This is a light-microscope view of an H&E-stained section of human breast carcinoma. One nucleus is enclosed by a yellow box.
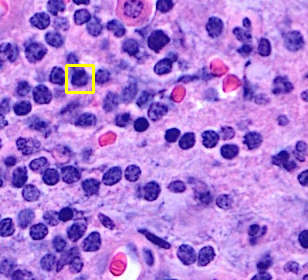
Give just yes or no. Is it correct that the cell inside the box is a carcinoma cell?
no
